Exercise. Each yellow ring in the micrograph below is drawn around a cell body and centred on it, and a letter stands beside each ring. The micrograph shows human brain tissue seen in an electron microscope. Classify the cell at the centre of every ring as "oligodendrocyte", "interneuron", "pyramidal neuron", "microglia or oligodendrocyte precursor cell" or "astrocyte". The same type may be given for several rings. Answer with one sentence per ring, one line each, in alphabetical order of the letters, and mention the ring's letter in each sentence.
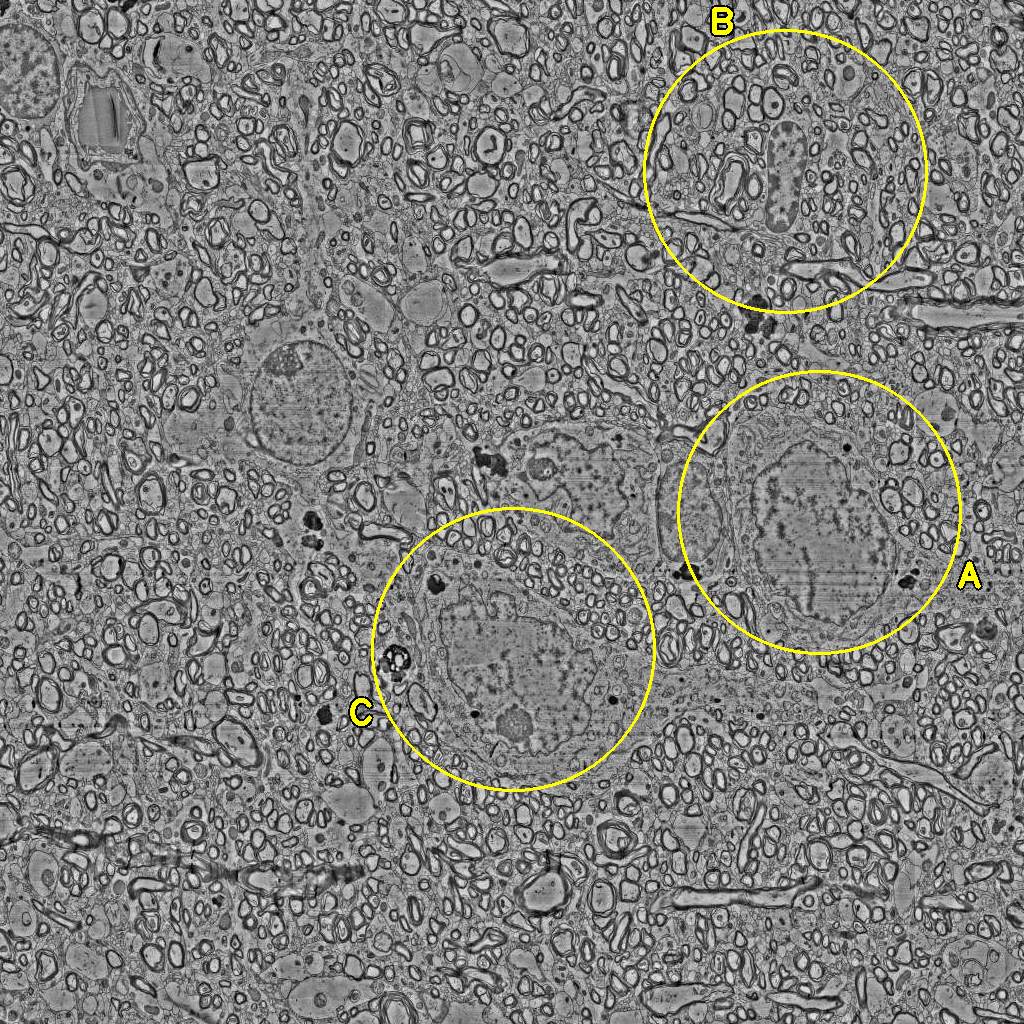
In ring A, the central cell is an interneuron.
In ring B, the central cell is a microglial cell or oligodendrocyte precursor cell.
In ring C, the central cell is a pyramidal neuron.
